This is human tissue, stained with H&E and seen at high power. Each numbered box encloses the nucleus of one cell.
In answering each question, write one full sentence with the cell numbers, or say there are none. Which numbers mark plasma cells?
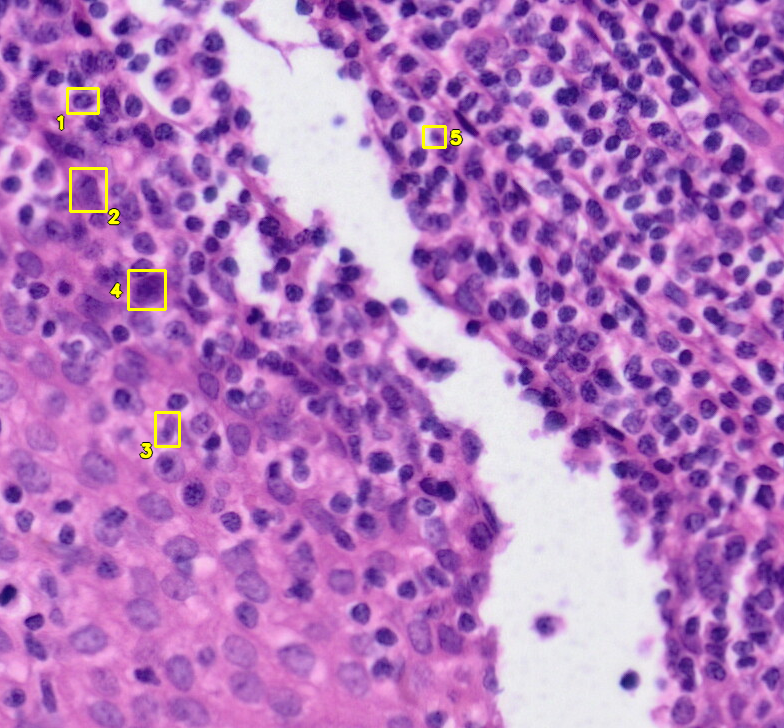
The cells numbered 1 and 5 are of the kind known as plasma cells.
